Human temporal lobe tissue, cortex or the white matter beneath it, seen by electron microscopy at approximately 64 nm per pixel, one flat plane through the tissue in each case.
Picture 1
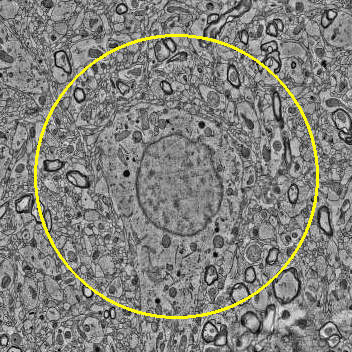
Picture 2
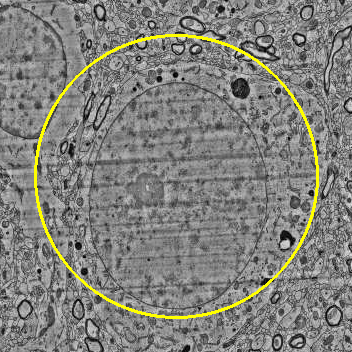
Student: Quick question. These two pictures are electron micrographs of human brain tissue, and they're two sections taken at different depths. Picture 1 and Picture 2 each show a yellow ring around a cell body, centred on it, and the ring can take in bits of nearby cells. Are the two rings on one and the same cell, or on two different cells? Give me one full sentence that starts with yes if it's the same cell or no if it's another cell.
No, these yellow rings each mark a separate cell.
